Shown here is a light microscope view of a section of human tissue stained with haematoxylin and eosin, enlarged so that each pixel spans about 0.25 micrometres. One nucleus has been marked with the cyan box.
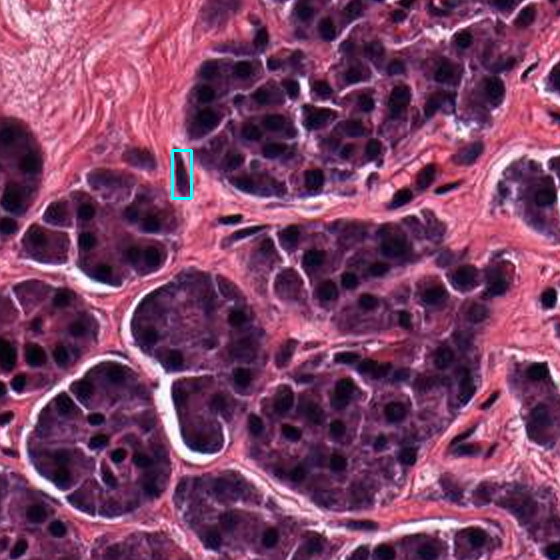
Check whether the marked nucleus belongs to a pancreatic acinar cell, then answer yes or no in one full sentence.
No, the marked nucleus is to be assigned to a supporting cell, not to a pancreatic acinar cell.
